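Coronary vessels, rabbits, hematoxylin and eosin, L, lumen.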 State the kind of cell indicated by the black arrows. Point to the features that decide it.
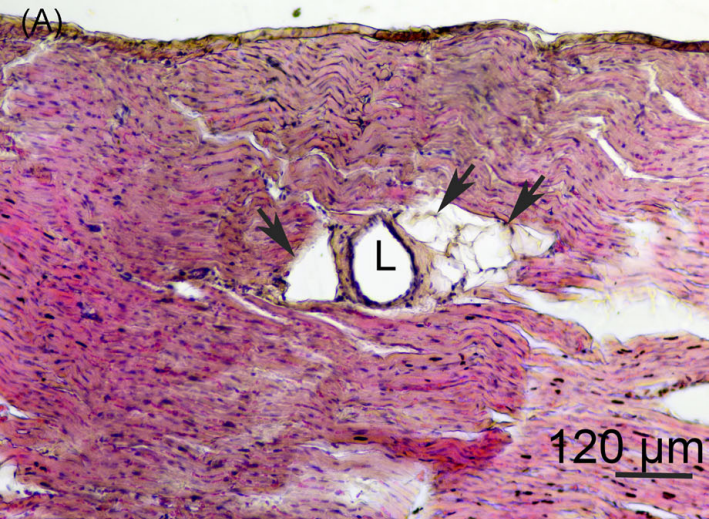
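The clear spaces lie beside a small vessel within pink muscle tissue.
Conclusion: Adipocytes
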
